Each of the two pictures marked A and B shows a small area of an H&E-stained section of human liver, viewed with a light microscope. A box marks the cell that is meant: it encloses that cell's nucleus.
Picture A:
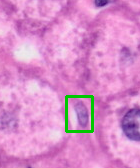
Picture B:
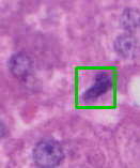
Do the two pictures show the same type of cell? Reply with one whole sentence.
Yes, both are Kupffer cells.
